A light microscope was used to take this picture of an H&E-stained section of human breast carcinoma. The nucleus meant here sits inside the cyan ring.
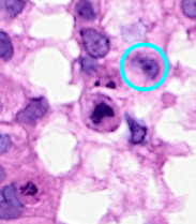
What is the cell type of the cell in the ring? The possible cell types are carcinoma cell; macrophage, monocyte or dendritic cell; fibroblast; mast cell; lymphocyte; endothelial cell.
macrophage, monocyte or dendritic cell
